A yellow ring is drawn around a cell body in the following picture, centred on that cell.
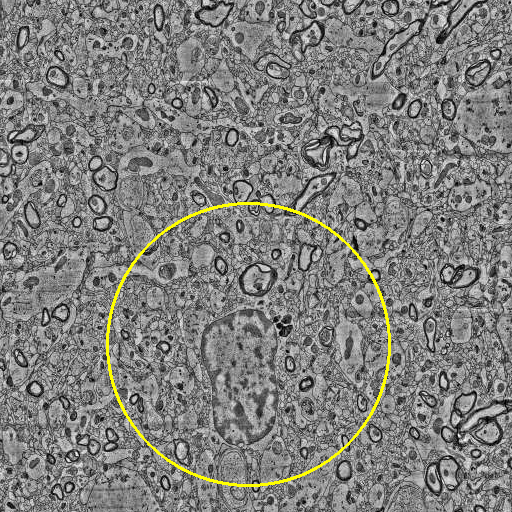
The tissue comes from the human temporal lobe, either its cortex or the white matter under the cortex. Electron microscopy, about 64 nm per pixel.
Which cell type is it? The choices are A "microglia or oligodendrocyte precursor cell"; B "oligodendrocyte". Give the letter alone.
A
